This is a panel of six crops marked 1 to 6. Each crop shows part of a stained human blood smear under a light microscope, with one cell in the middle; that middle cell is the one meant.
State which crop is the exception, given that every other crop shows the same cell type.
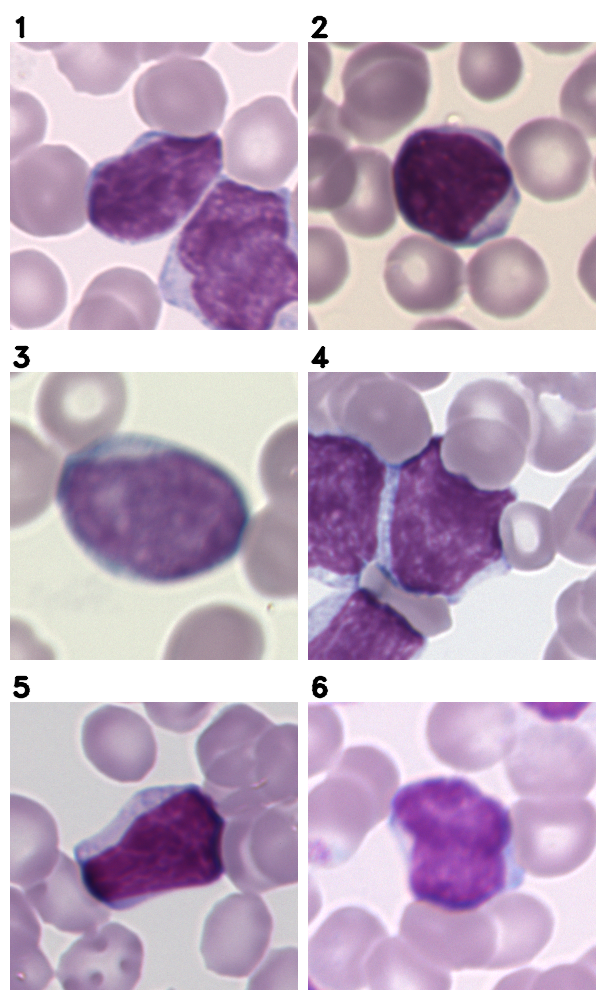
3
